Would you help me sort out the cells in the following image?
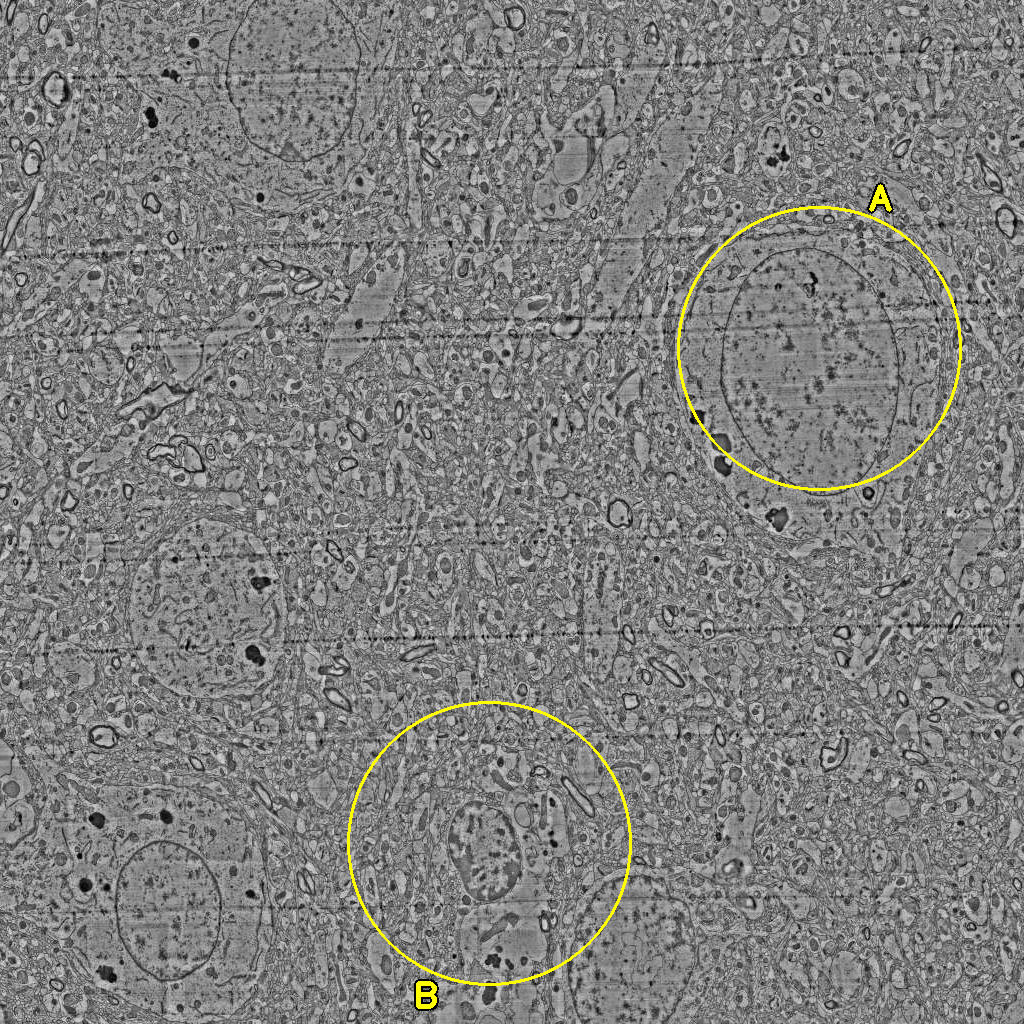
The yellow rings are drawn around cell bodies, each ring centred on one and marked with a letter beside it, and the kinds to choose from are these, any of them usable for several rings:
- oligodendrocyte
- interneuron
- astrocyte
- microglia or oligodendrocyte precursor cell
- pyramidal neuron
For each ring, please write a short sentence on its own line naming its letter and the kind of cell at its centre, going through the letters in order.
Ring A is centred on the cell body of a pyramidal neuron.
Ring B is centred on the cell body of a microglial cell or oligodendrocyte precursor cell.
